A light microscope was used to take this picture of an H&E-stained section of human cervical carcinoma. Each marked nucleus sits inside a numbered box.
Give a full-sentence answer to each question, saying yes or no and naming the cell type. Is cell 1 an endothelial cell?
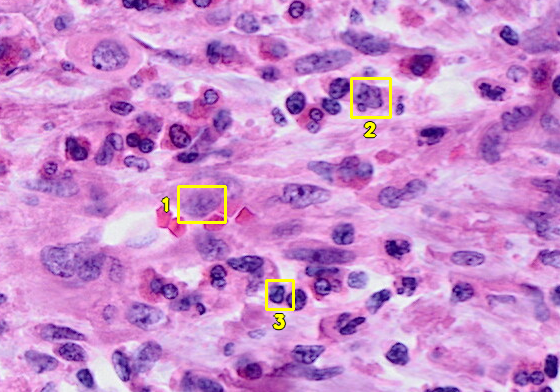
Yes, the cell that is numbered 1 is an endothelial cell.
